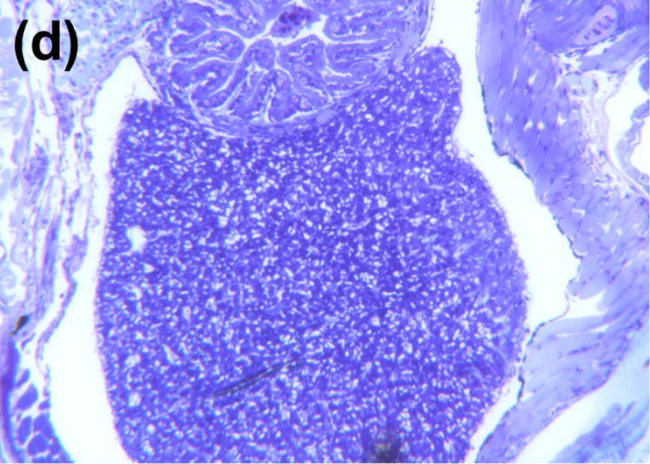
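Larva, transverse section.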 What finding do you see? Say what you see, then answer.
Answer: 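Numerous vacuolizations. The large solid organ below the folded tube is riddled with many small clear spaces. The clear spaces are scattered throughout the whole organ between stained cytoplasm.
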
